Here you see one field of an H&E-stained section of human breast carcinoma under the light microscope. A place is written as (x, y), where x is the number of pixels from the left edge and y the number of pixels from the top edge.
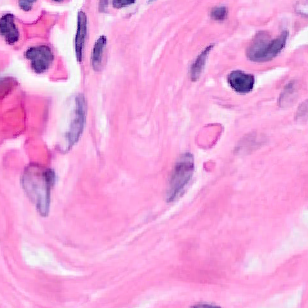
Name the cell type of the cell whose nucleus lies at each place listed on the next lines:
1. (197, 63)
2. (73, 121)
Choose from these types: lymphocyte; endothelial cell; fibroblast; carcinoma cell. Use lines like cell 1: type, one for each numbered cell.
cell 1: fibroblast
cell 2: endothelial cell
